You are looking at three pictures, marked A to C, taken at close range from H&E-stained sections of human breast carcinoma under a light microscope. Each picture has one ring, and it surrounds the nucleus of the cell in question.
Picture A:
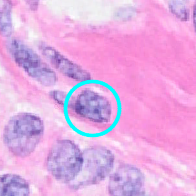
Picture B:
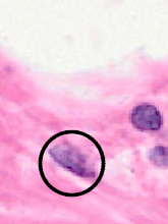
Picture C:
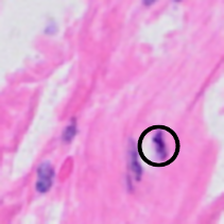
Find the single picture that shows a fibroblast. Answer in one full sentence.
Picture B shows the fibroblast.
